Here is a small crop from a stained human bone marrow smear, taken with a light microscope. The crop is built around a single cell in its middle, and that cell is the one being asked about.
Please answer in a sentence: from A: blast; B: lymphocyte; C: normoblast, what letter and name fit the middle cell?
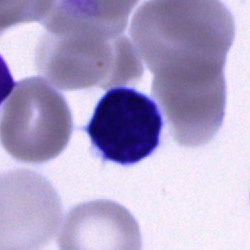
Option B is right, the centrally situated cell being a lymphocyte.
